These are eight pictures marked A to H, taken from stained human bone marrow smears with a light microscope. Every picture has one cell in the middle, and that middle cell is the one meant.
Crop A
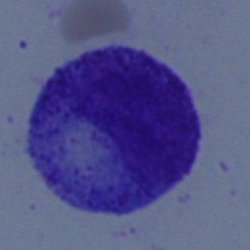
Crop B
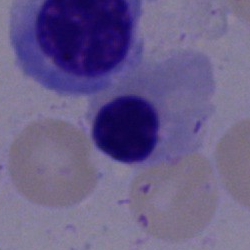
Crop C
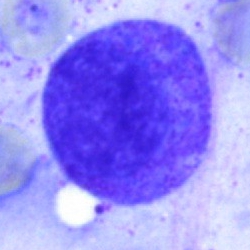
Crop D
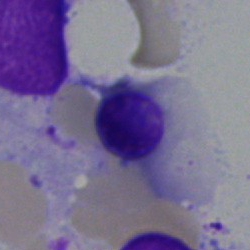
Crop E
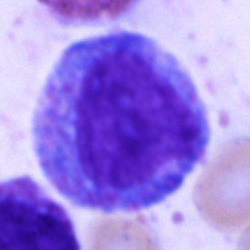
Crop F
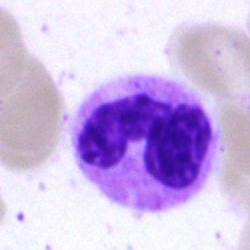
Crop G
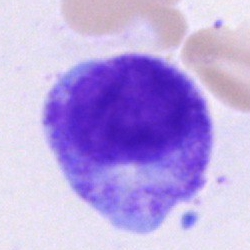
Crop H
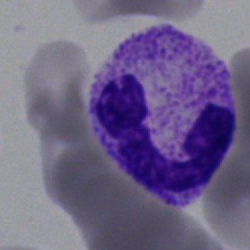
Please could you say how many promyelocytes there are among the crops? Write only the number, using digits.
4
